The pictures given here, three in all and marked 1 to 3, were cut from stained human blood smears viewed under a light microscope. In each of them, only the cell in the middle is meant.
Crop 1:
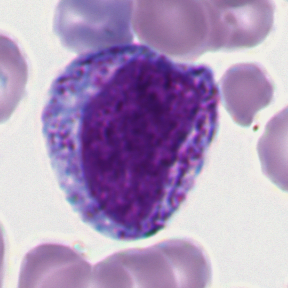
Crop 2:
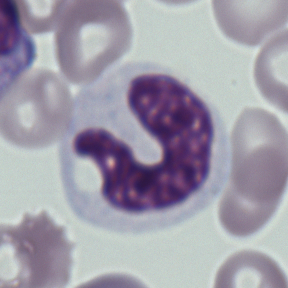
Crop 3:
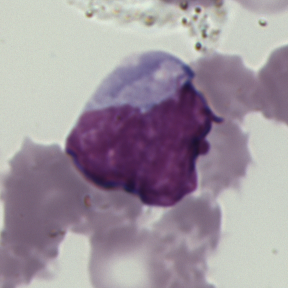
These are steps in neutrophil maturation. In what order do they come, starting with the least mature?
3, 1, 2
